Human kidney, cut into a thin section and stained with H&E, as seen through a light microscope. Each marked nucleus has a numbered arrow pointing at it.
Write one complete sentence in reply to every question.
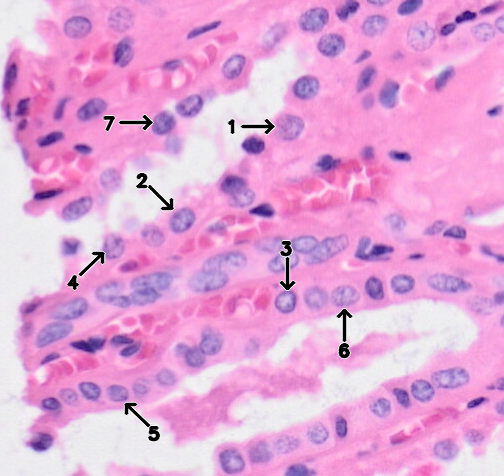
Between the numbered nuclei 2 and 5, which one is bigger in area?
The larger nucleus is 2, at roughly 1.5 times the area of 5.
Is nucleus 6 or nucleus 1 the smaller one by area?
Nucleus 6 is the smaller one; nucleus 1 covers about 1.5 times its area.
